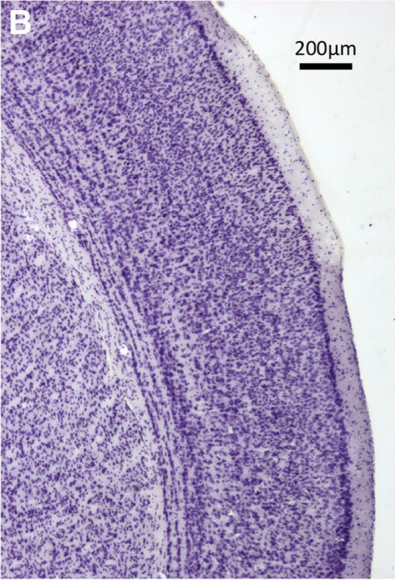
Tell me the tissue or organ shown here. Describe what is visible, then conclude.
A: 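A broad band of densely packed purple cell bodies lies beneath a thin pale outer layer. Cell density varies in bands across the thickness. Pale fibre bundles run parallel beneath the cell band on the left.
Hence: neocortex.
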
